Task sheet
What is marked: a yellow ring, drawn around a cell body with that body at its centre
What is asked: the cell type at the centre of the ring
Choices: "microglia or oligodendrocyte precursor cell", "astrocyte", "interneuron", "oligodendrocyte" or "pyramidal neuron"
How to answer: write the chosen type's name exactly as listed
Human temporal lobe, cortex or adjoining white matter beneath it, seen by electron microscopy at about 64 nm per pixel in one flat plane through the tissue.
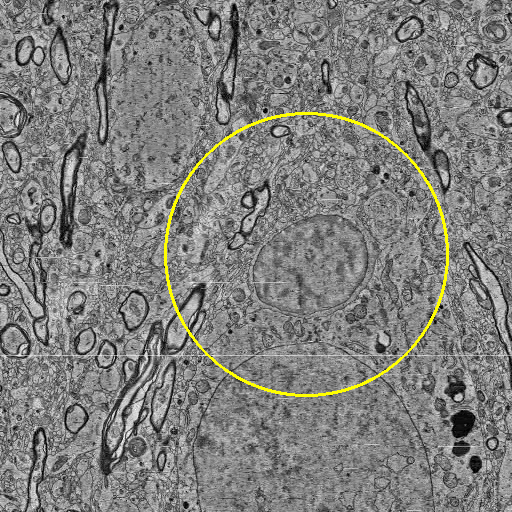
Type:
oligodendrocyte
